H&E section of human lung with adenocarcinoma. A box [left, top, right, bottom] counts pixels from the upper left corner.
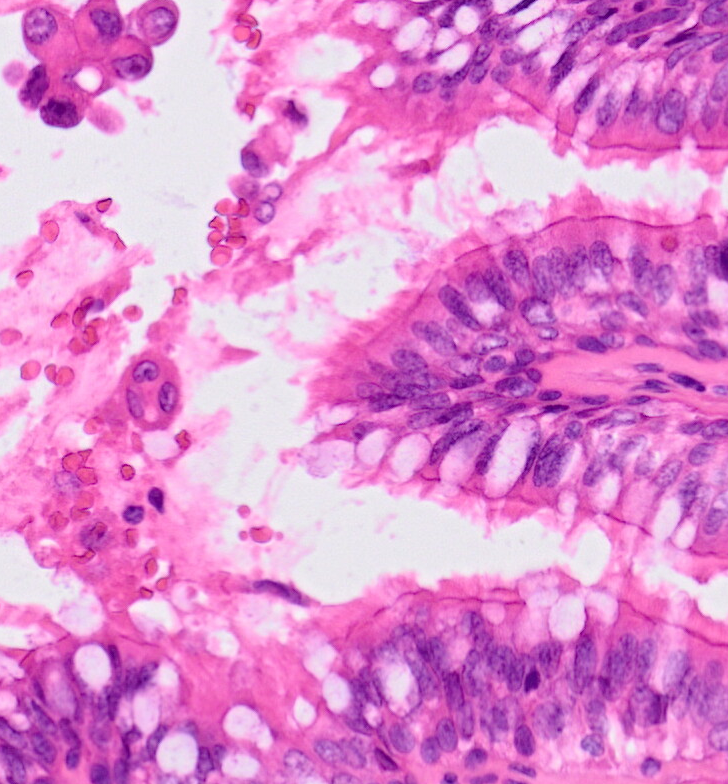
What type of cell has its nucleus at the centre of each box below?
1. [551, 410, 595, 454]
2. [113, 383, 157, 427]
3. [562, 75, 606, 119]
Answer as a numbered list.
1. ciliated epithelial cell
2. macrophage or monocyte
3. ciliated epithelial cell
